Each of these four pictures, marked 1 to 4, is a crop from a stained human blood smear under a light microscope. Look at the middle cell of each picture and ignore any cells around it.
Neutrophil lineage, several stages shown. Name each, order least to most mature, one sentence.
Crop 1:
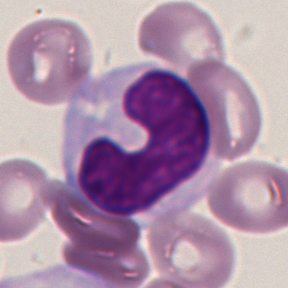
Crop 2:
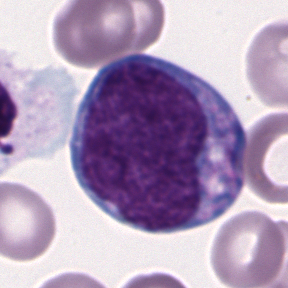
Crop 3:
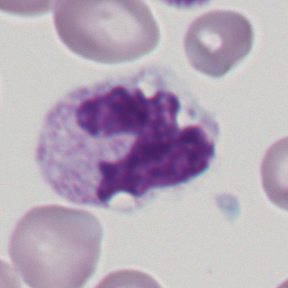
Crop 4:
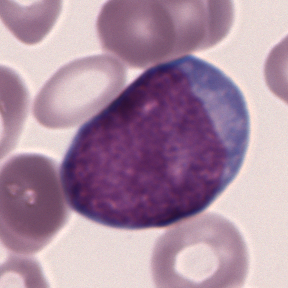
The correct order, least to most mature, is crop 4 (a myeloblast), crop 2 (a promyelocyte), crop 1 (a band neutrophil) and crop 3 (a segmented neutrophil).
